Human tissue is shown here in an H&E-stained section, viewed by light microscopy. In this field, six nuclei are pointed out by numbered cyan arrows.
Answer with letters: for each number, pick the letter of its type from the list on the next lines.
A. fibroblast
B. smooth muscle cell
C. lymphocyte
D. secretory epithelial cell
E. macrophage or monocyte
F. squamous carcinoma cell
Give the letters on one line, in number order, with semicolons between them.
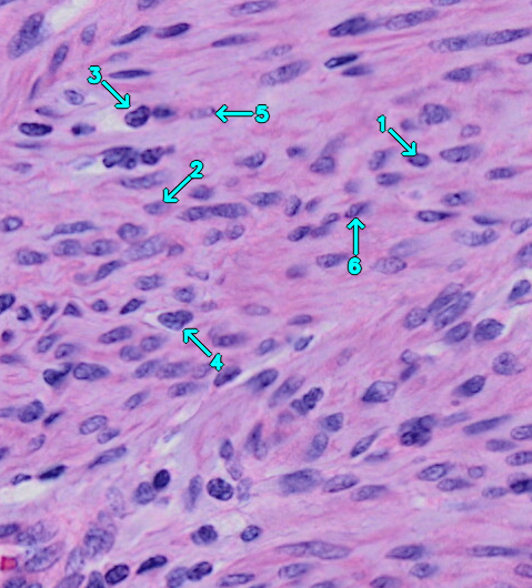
B; B; C; C; B; B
